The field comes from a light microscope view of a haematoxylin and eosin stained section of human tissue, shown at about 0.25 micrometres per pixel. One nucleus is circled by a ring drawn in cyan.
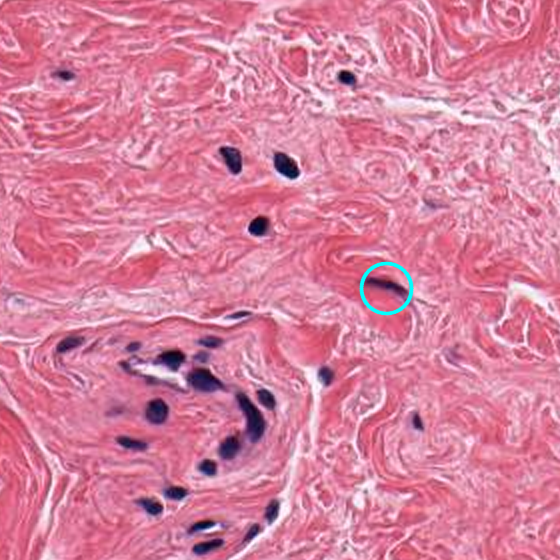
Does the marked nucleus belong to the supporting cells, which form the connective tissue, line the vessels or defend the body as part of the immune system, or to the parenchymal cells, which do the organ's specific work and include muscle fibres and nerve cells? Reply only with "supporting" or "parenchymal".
supporting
